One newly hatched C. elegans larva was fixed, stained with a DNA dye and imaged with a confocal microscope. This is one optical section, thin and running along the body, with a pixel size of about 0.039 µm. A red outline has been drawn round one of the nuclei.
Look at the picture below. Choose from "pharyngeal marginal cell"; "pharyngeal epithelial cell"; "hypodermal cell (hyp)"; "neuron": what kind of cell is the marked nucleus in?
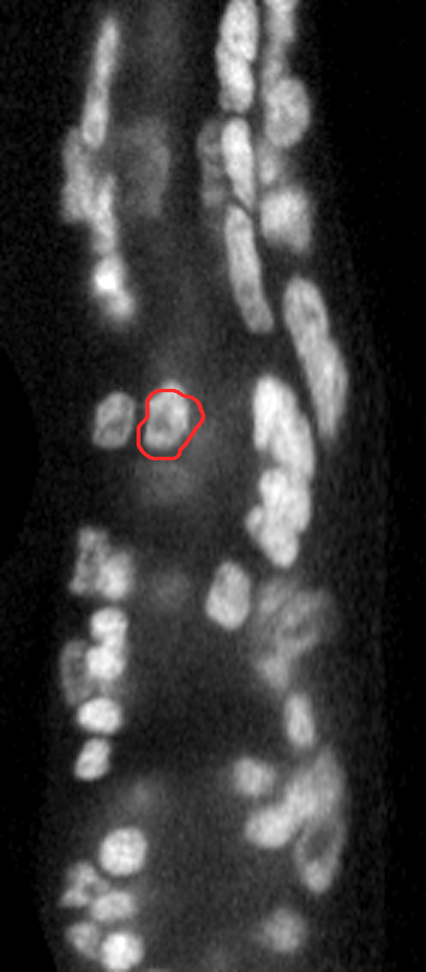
pharyngeal marginal cell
